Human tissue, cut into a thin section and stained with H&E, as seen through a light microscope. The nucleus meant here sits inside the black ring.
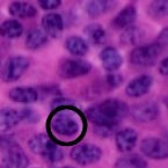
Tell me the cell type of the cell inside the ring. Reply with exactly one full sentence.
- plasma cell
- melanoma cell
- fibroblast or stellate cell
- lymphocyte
On this particular slide, the cell inside the ring is a plasma cell.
